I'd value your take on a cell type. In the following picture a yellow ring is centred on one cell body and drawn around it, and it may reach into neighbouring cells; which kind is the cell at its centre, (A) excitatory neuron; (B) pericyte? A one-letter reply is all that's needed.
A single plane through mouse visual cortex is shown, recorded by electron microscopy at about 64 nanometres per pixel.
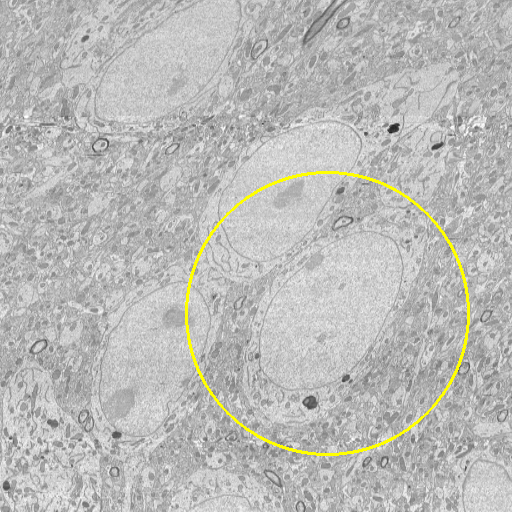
A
